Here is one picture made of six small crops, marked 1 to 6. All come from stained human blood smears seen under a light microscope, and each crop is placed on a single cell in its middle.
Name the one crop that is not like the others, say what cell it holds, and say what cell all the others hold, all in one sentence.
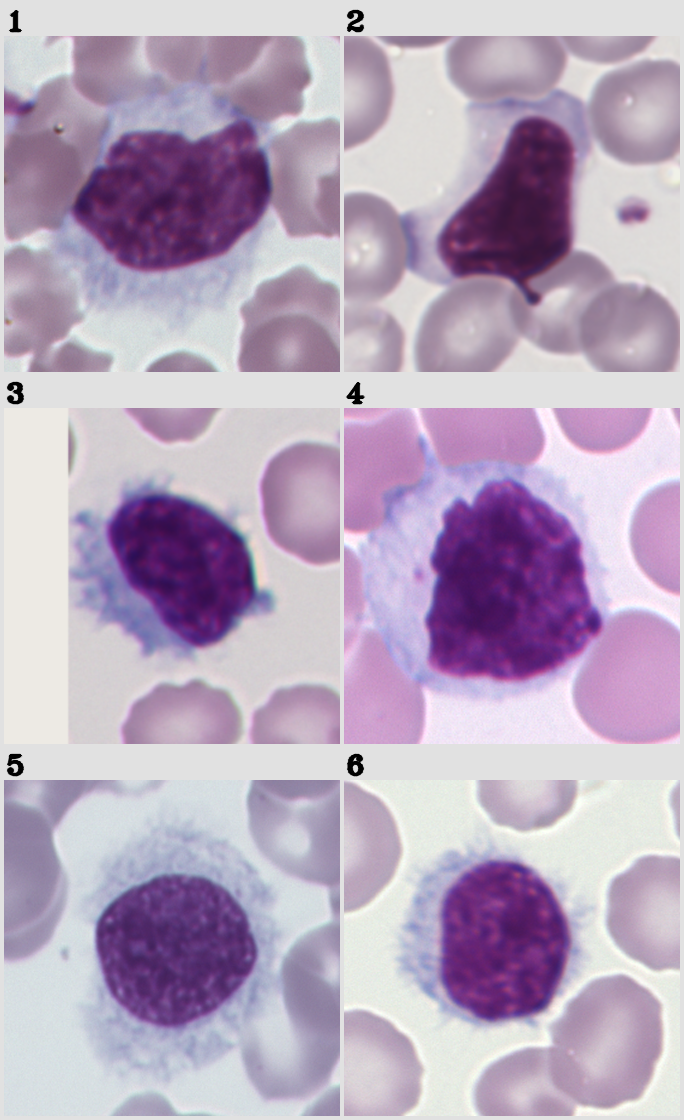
All crops show hairy cells except crop 2, which is a typical lymphocyte.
